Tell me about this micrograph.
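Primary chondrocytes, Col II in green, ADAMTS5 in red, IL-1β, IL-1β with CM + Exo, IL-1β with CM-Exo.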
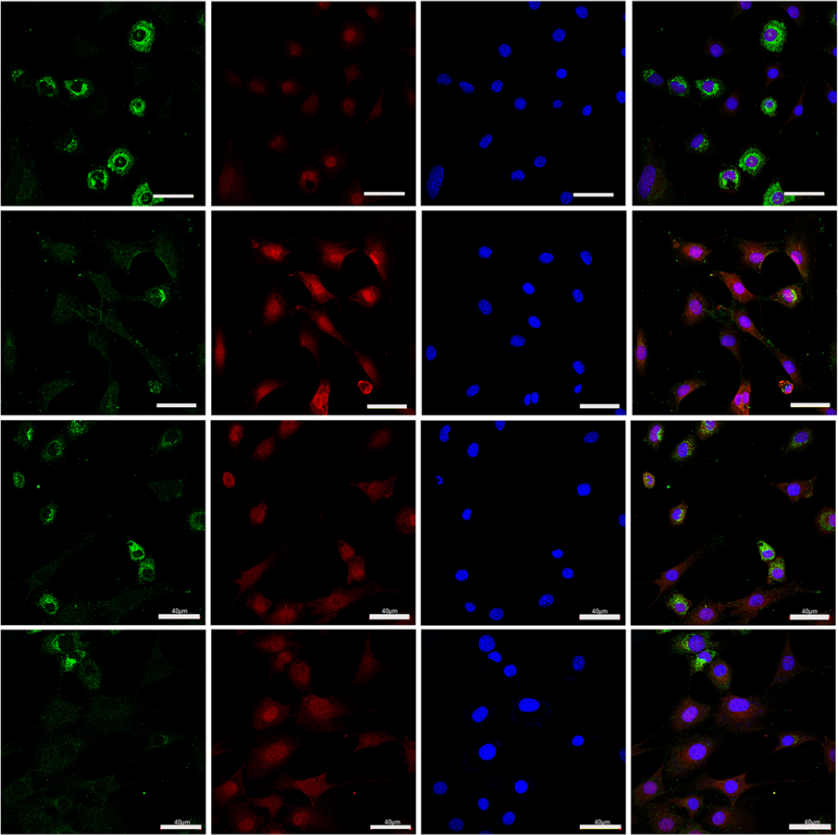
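The cells are flattened, ranging from rounded-polygonal to elongated spindle shapes, with cytoplasm outlined faintly by the red label. In some rows many cells carry a bright green ring around the nucleus, while in others the green is weak and the red fills the cytoplasm more strongly. The merged column overlays the three colours so that the perinuclear green, diffuse red cytoplasm and blue nuclei can be seen together in the same cells.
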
